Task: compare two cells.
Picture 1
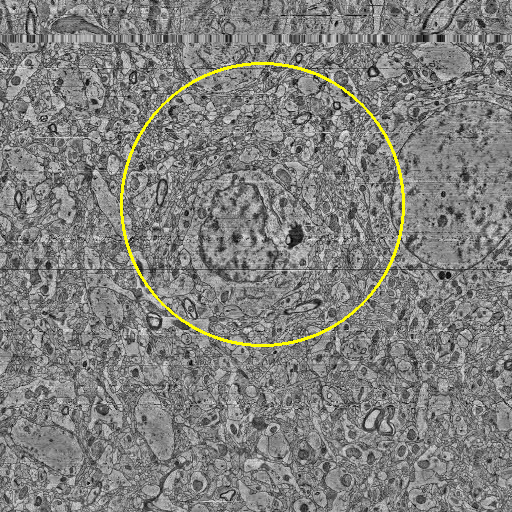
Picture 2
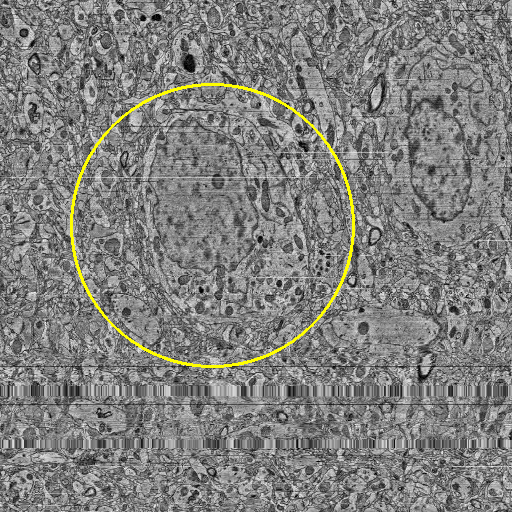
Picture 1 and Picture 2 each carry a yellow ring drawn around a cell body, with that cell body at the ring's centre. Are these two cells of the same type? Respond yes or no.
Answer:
yes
